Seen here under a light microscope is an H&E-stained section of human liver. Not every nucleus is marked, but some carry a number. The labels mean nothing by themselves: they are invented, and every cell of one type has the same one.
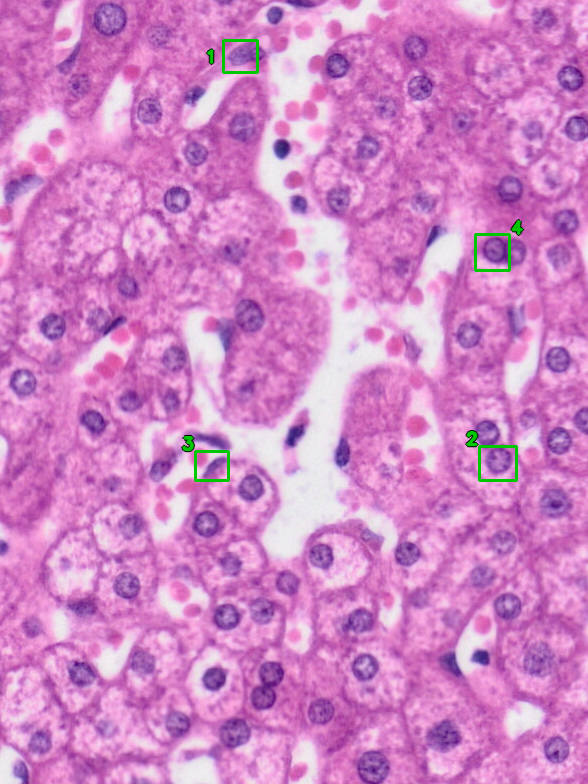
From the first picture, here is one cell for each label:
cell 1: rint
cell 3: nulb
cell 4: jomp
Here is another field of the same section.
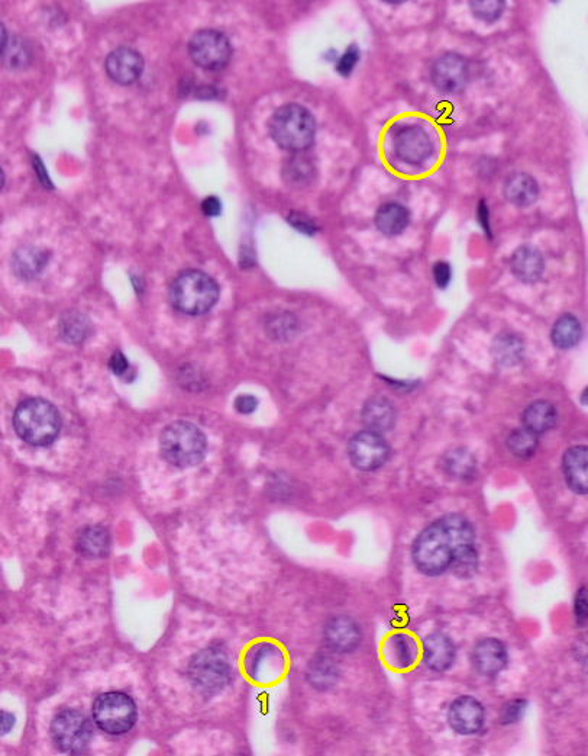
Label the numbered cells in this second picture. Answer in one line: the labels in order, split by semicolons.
nulb; jomp; rint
